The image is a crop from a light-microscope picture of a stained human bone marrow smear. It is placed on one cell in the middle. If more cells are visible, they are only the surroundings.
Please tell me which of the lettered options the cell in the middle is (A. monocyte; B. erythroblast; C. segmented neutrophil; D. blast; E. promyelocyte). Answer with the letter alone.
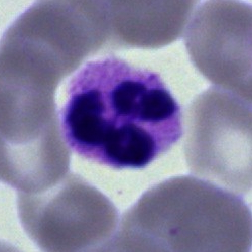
C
